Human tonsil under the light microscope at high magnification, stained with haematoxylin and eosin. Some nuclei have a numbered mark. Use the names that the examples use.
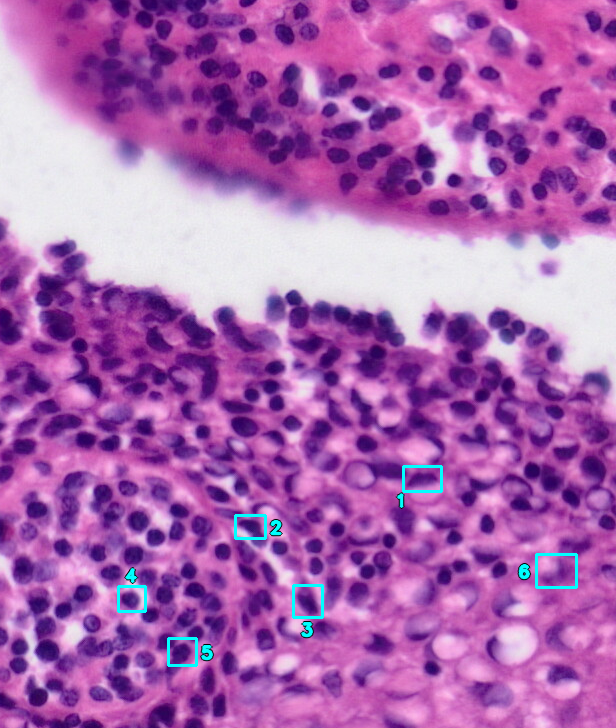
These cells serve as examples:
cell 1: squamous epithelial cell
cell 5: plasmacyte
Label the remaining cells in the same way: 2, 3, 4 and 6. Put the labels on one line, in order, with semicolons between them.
squamous epithelial cell; squamous epithelial cell; plasmacyte; squamous epithelial cell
